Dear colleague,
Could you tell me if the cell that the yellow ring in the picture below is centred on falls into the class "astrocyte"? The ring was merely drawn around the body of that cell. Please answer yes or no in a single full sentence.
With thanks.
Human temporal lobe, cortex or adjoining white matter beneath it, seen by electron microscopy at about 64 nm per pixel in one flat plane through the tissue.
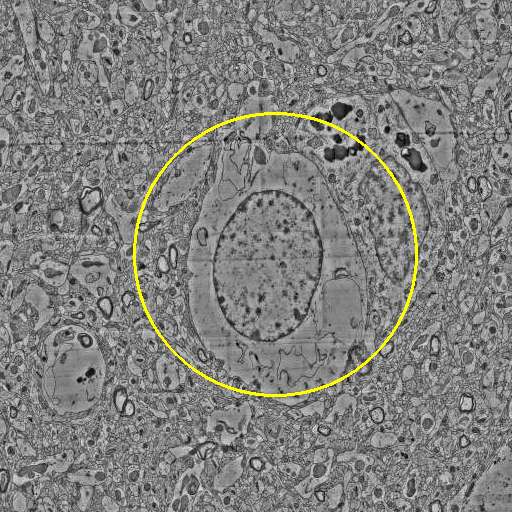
Yes, the cell on which the ring in your picture is centred falls into that class.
